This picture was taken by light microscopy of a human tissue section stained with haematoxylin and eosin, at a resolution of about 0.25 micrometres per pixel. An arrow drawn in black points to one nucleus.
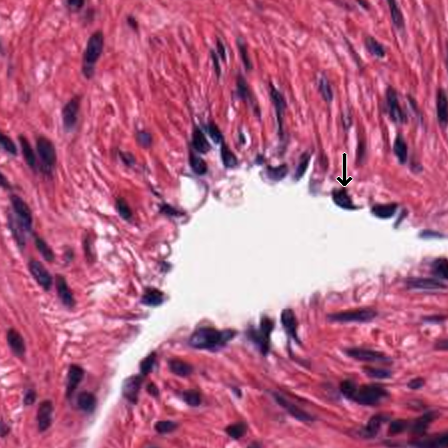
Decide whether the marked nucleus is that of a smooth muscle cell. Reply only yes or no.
no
